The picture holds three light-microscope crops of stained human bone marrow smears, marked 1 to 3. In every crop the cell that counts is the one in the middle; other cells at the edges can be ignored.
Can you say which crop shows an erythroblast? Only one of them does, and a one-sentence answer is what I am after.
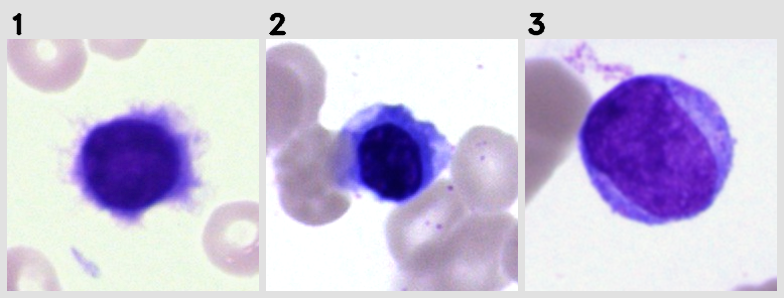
The crop that shows an erythroblast is crop 2.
